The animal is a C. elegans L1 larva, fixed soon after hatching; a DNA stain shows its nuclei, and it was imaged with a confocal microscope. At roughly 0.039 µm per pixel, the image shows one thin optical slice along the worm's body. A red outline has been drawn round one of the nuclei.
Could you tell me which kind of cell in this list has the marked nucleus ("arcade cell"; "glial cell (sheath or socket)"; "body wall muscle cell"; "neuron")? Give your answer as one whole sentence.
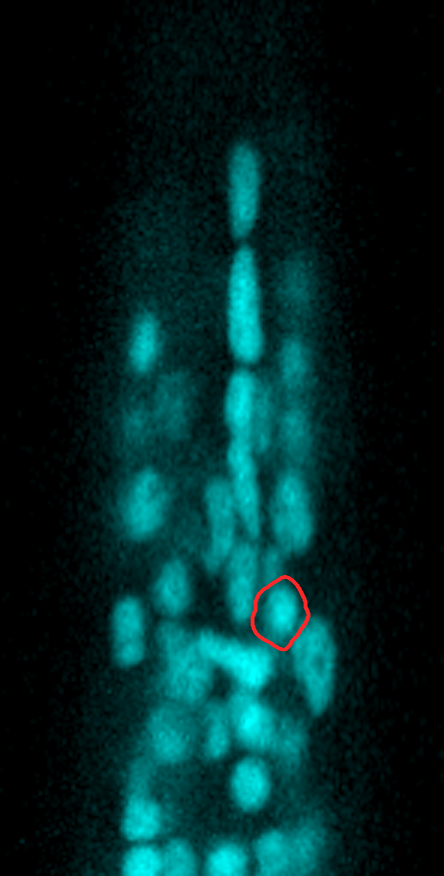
The marked nucleus is that of a glial cell (sheath or socket).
